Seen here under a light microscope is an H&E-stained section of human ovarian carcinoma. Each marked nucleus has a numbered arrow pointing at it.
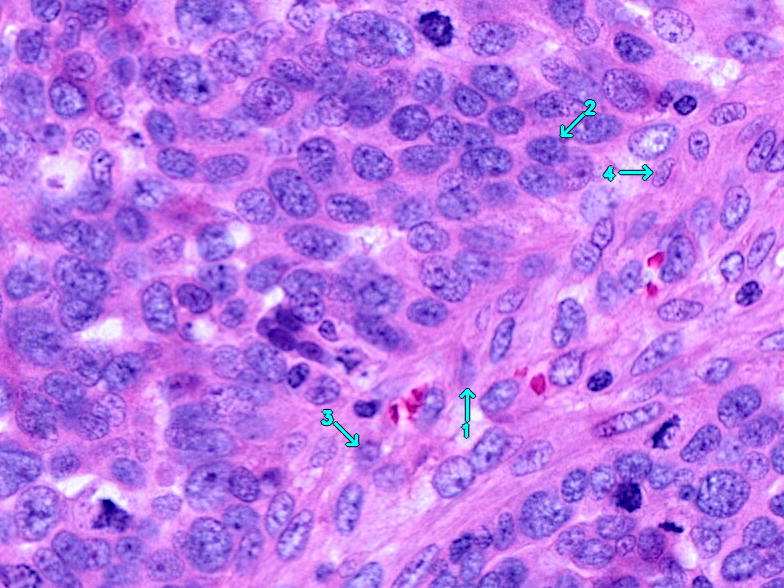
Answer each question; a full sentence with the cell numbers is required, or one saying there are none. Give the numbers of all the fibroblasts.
Identification: the cells with numbers 1, 3 and 4 are fibroblasts.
